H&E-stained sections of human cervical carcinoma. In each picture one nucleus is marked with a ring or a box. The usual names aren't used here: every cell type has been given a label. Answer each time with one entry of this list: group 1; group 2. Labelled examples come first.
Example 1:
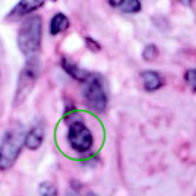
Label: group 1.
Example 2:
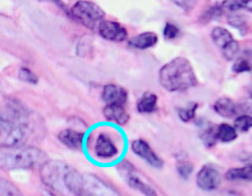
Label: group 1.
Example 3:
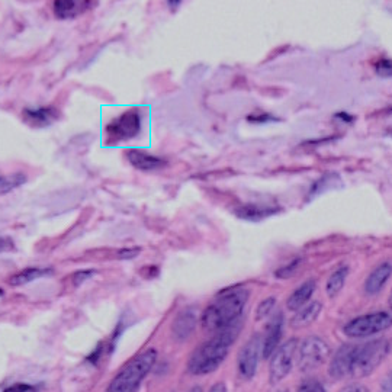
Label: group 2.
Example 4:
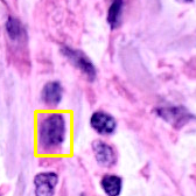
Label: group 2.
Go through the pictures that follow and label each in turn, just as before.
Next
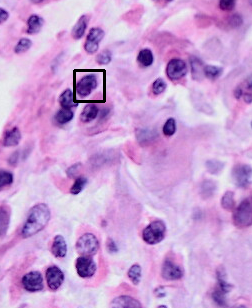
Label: group 1.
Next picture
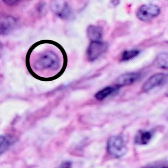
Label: group 2.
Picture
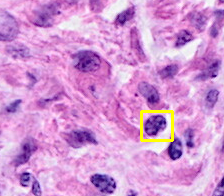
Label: group 1.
